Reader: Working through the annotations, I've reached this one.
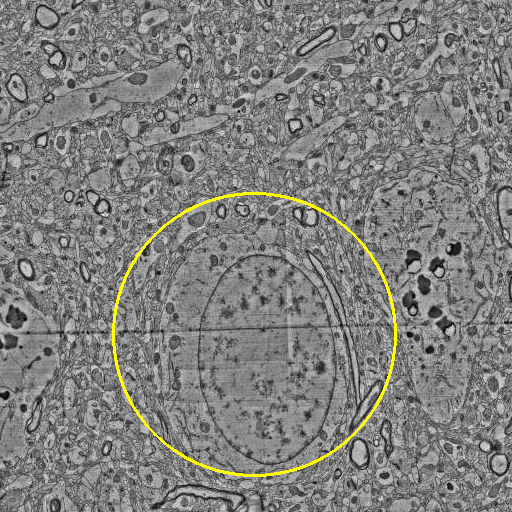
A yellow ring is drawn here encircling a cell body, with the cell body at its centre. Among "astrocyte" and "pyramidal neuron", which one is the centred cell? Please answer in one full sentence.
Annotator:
The cell body at the centre of the yellow ring in this image belongs to a pyramidal neuron.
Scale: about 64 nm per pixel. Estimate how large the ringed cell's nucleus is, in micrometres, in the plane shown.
In this plane the nucleus is about 13 micrometres by 10.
